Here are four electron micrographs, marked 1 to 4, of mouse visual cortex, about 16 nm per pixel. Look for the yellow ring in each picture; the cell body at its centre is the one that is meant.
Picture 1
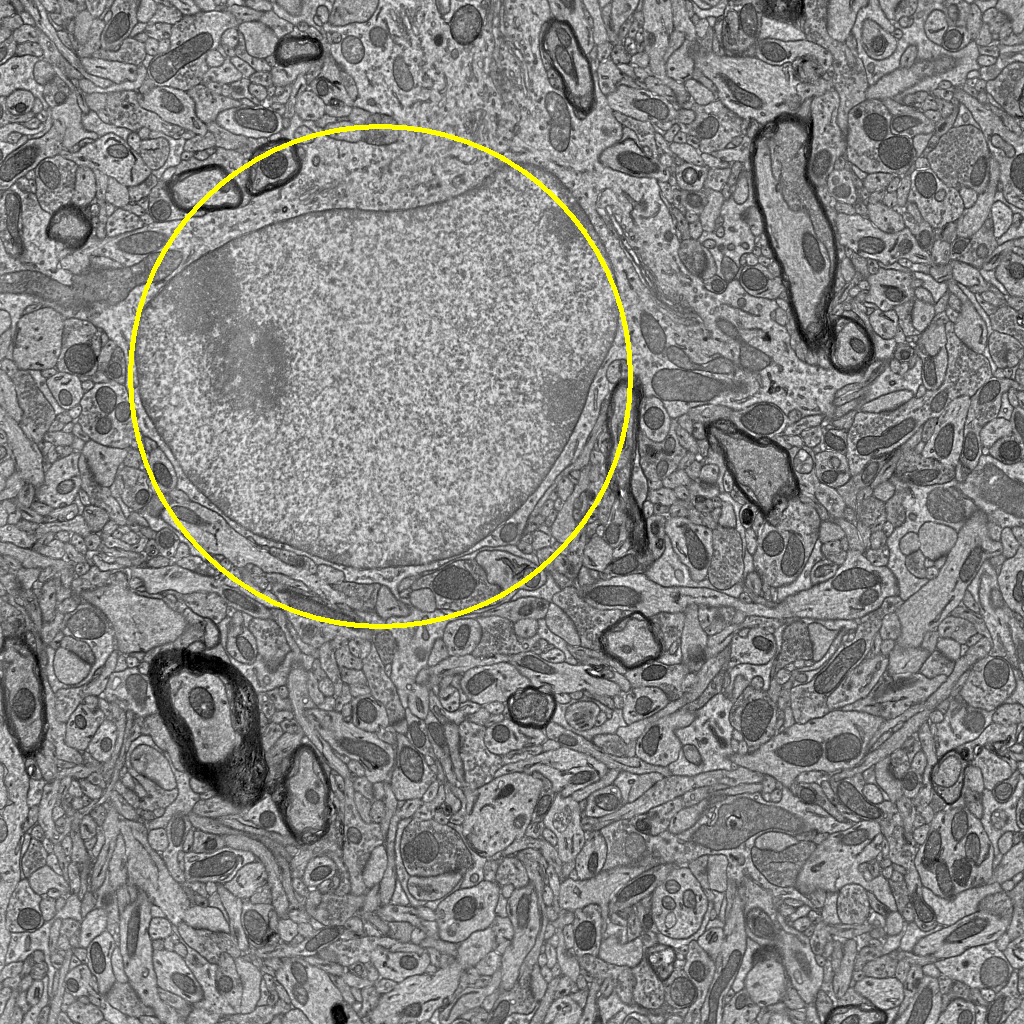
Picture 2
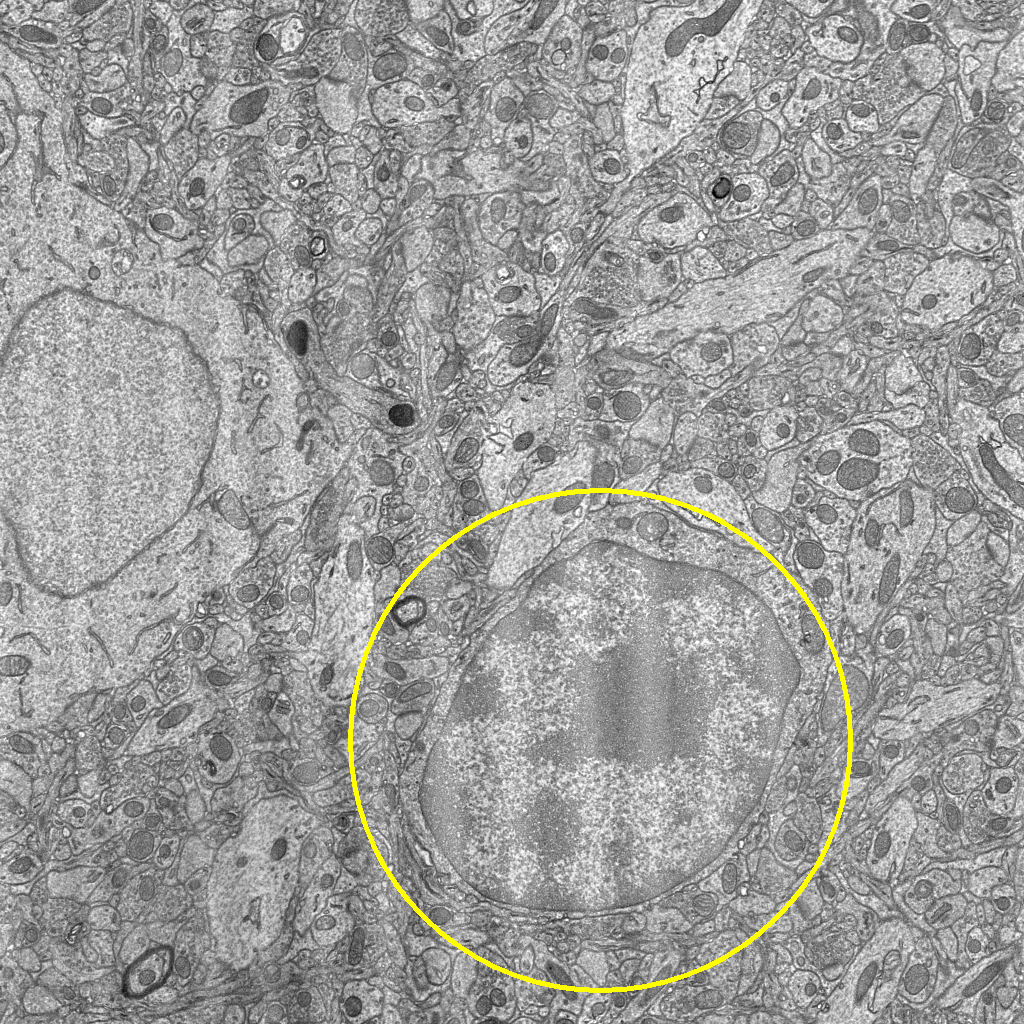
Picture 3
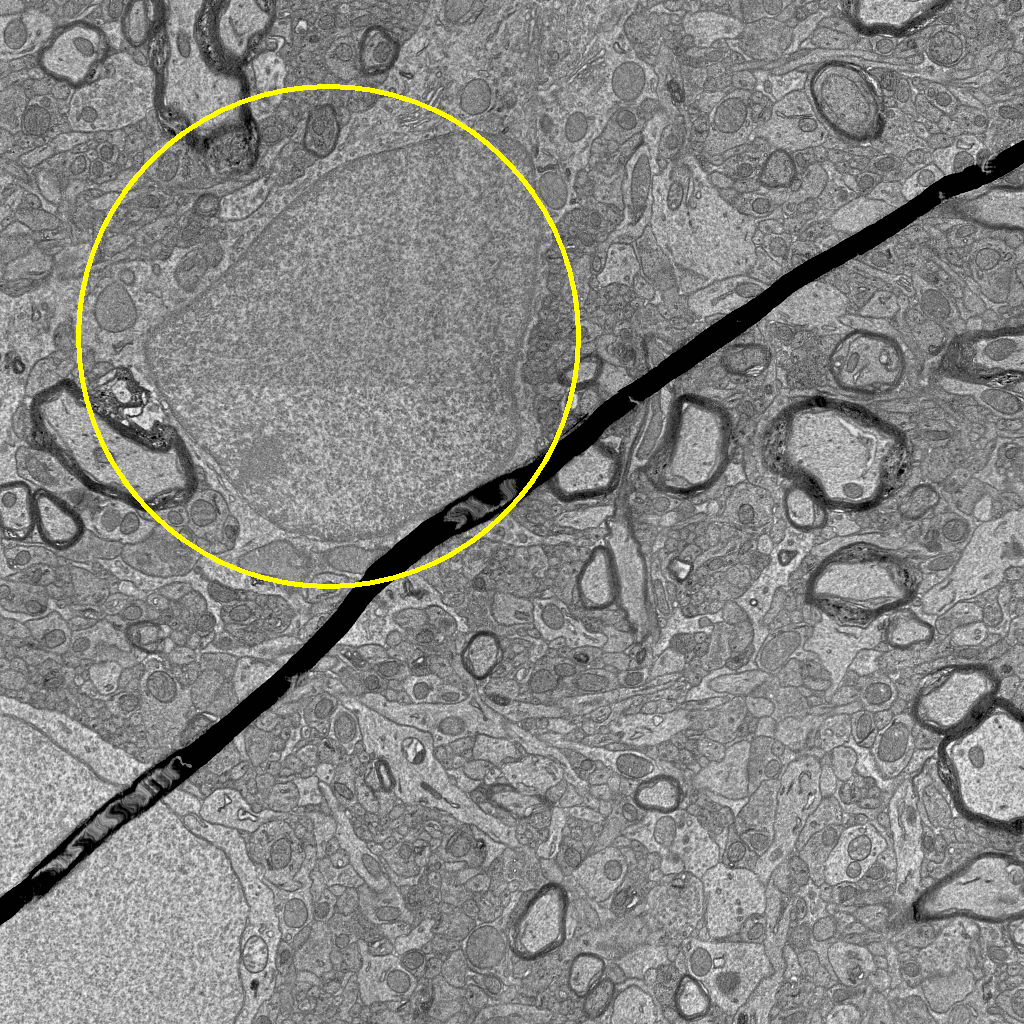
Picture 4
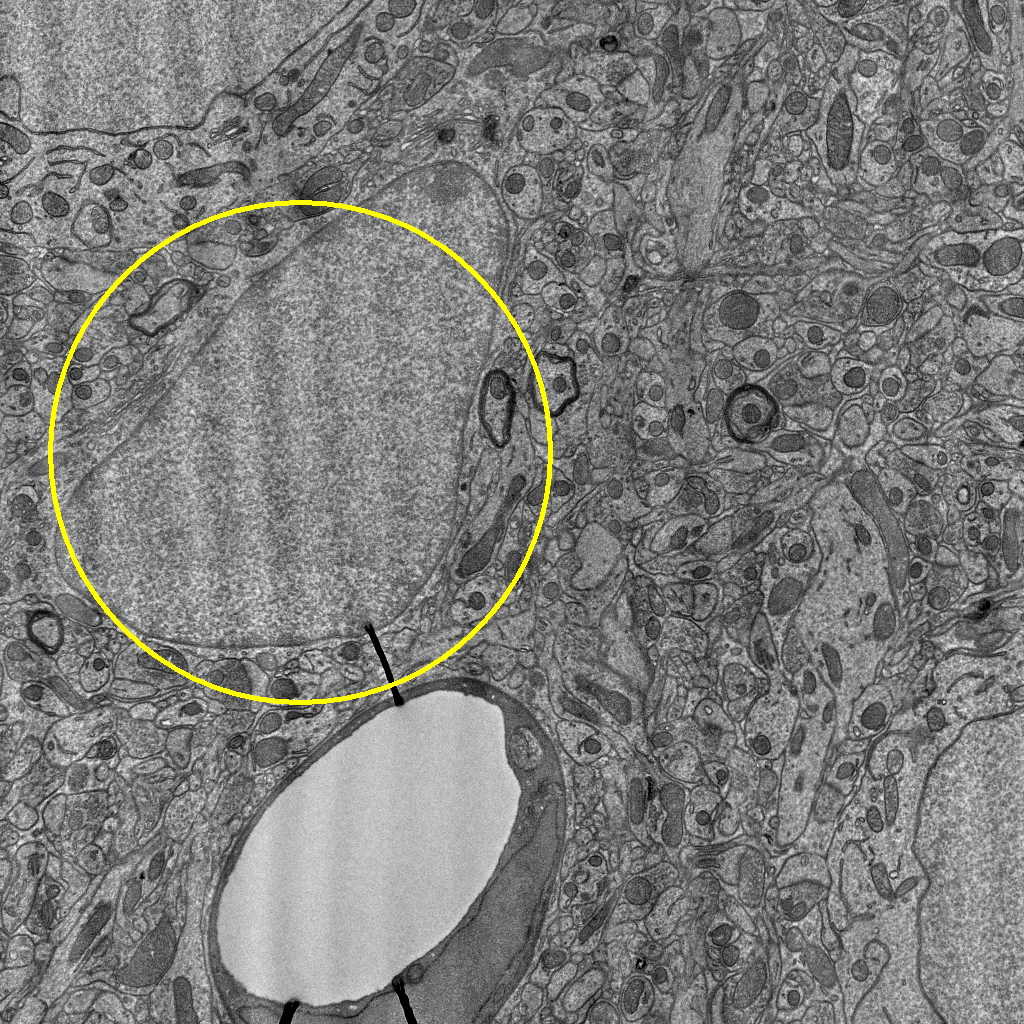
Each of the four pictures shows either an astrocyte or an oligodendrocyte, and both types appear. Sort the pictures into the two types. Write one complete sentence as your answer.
Pictures 1, 3 and 4 show astrocytes; picture 2 shows an oligodendrocyte.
